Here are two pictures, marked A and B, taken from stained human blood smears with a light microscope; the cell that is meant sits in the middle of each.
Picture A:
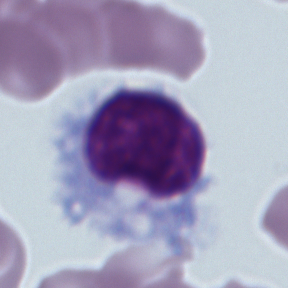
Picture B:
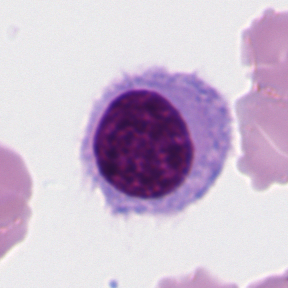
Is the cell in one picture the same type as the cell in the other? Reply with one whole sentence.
Yes, they are the same type: both are hairy cells.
